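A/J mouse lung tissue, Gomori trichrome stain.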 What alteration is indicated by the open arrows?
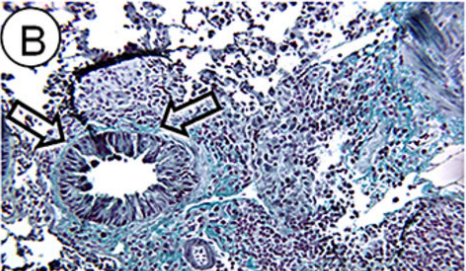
matrix deposition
